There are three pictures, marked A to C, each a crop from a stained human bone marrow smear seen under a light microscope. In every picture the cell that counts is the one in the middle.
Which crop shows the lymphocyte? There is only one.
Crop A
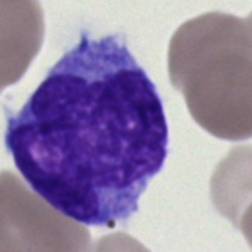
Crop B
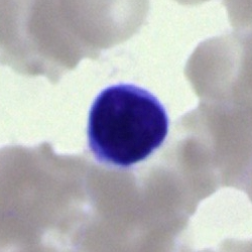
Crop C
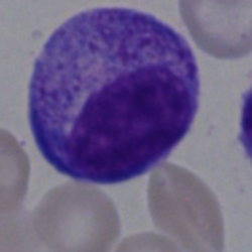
B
